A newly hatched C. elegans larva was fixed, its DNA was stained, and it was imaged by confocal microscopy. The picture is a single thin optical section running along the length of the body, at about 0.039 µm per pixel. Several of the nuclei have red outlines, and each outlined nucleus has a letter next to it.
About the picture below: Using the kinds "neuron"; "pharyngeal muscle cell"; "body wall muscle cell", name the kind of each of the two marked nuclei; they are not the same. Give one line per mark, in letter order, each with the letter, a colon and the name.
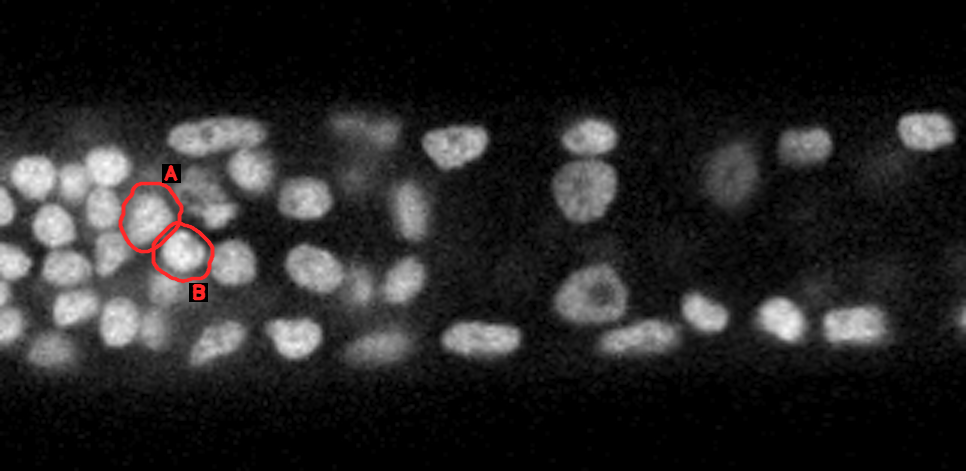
A: pharyngeal muscle cell
B: neuron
